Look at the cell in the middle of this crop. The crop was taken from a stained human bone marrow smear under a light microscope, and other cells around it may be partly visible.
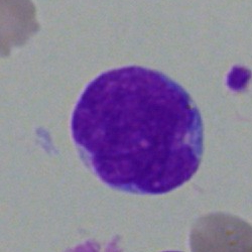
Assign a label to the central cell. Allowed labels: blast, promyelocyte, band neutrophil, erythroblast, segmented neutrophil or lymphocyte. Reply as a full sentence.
The centered cell in this crop is a blast.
